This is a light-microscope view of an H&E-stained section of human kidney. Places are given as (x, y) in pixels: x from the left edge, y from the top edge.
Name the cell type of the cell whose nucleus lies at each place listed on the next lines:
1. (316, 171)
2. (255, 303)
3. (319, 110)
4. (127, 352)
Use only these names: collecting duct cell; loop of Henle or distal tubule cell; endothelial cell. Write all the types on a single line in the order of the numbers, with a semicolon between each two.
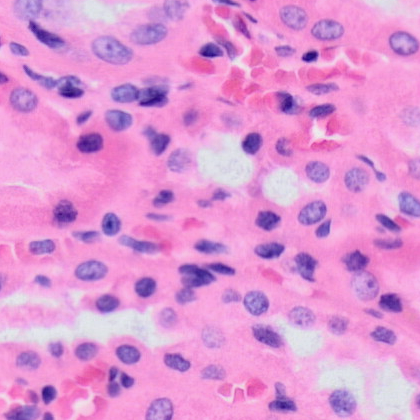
loop of Henle or distal tubule cell; loop of Henle or distal tubule cell; endothelial cell; loop of Henle or distal tubule cell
